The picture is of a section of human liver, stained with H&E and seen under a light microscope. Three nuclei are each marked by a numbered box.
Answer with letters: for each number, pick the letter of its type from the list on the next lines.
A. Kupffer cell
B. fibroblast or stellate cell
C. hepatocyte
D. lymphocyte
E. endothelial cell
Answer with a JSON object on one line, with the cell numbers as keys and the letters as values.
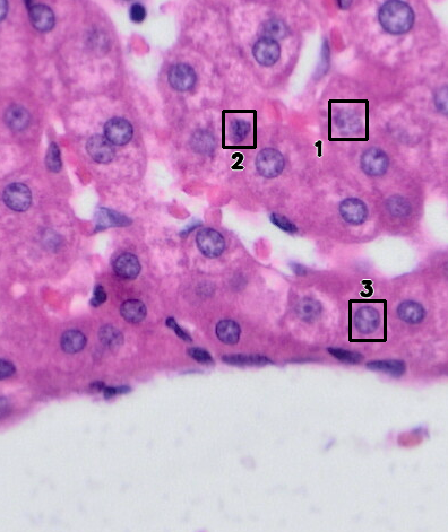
{"1": "C", "2": "B", "3": "C"}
